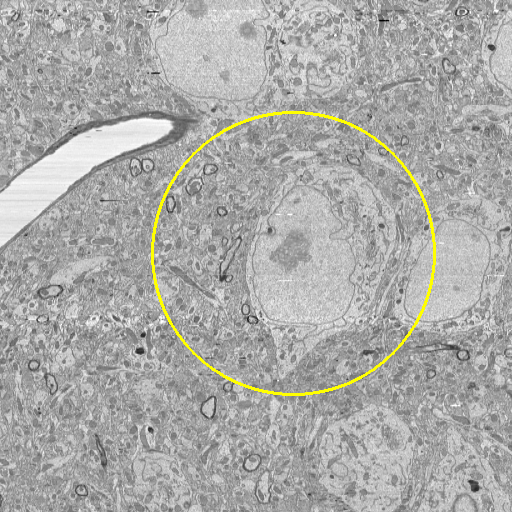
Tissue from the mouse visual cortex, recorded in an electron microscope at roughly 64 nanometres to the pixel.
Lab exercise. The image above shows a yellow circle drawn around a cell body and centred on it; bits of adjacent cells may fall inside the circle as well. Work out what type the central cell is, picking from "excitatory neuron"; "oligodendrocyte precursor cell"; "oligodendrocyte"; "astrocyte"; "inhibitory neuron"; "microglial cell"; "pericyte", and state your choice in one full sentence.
In the image above, the cell at the centre of the yellow circle is an inhibitory neuron.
